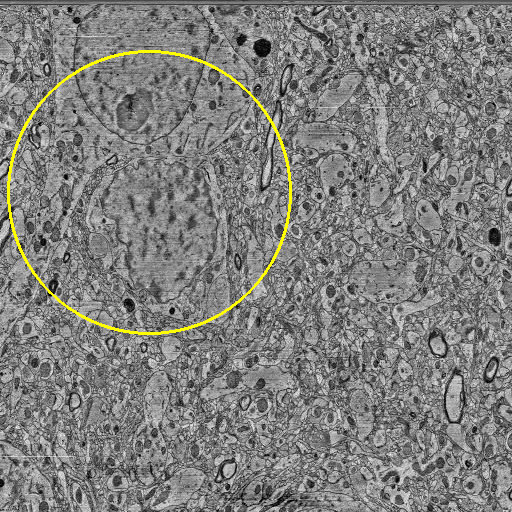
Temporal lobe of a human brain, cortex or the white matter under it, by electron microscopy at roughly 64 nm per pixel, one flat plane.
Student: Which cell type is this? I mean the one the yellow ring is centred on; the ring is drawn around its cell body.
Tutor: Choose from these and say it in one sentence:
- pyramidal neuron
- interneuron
The cell the ring is centred on is an interneuron.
